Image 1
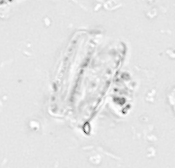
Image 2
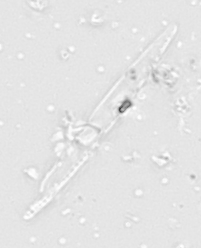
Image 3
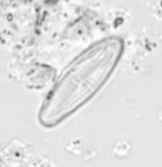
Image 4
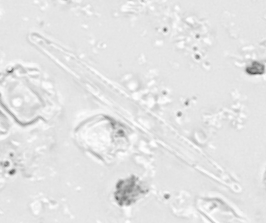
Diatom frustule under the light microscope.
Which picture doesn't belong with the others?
Picture 3.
